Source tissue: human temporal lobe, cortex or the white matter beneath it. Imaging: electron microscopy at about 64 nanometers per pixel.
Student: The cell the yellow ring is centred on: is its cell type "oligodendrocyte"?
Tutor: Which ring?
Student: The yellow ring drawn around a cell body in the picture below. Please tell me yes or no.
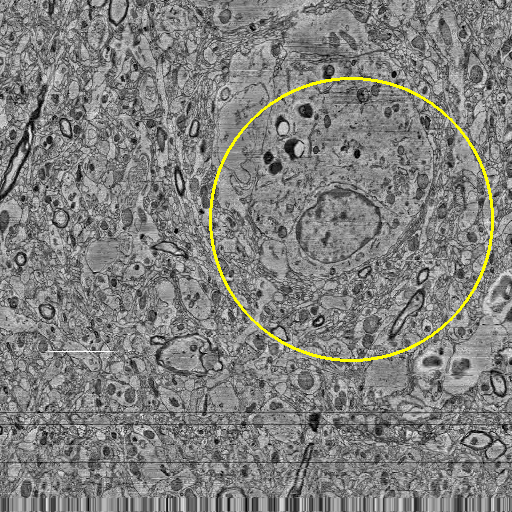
no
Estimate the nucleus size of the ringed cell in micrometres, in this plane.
Roughly 5 micrometers across, in this plane.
